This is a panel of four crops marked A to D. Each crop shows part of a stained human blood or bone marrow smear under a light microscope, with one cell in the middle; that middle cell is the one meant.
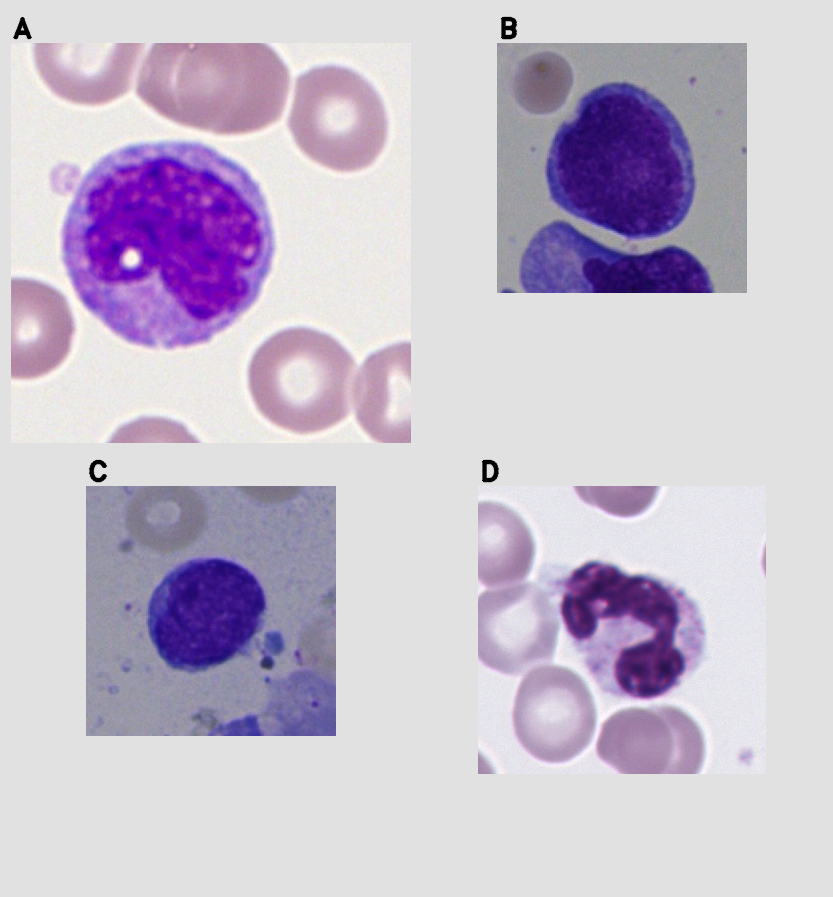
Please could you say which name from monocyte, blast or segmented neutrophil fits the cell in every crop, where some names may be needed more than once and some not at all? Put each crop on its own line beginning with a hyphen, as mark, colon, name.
- A: monocyte
- B: blast
- C: blast
- D: segmented neutrophil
